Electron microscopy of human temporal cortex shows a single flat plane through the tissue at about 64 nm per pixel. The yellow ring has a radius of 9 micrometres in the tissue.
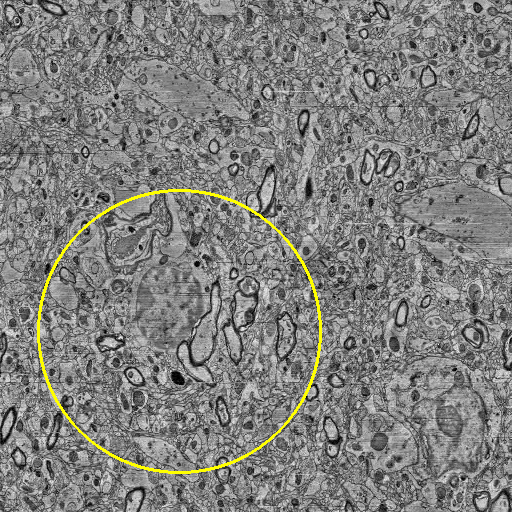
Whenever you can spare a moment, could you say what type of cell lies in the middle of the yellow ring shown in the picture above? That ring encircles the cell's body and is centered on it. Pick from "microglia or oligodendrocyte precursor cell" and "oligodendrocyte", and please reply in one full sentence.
The cell whose body sits at the middle of the yellow ring is an oligodendrocyte.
